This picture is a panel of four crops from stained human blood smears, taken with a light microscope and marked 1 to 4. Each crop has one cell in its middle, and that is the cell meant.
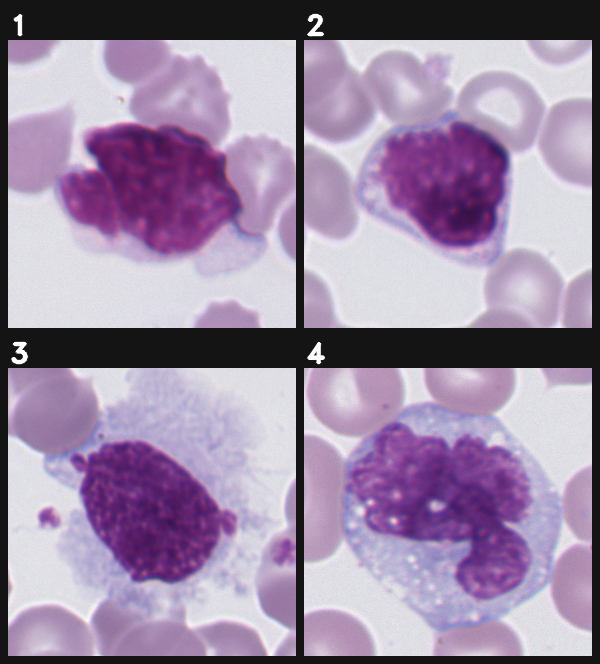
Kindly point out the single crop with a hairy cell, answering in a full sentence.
Selected crop: 3, which is the one that shows a hairy cell.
